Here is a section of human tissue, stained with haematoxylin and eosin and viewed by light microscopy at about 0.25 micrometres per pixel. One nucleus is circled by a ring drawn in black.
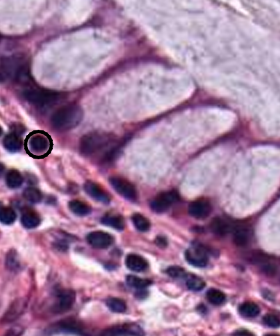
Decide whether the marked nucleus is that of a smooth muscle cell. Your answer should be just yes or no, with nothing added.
no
